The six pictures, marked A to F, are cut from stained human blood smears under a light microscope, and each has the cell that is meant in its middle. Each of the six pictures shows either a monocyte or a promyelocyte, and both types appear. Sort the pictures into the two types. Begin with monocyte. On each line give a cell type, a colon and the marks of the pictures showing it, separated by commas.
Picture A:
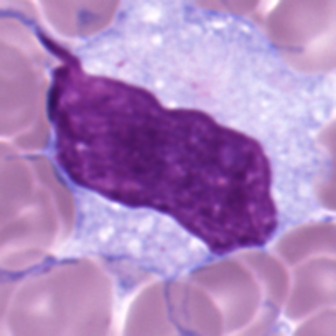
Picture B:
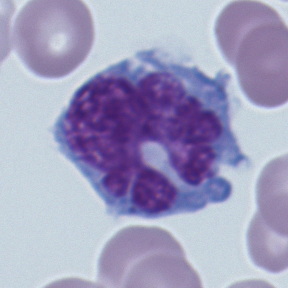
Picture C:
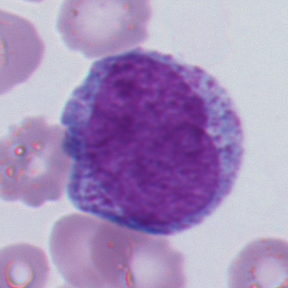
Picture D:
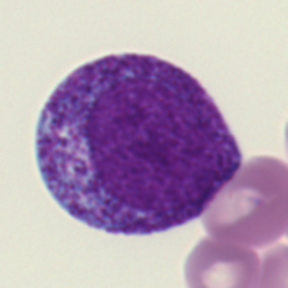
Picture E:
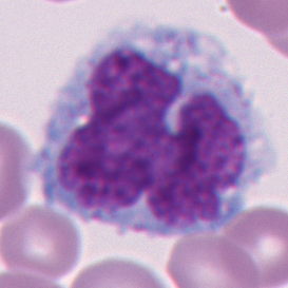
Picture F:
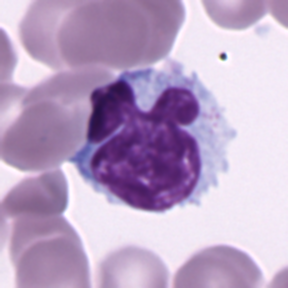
monocyte: A, B, E, F
promyelocyte: C, D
